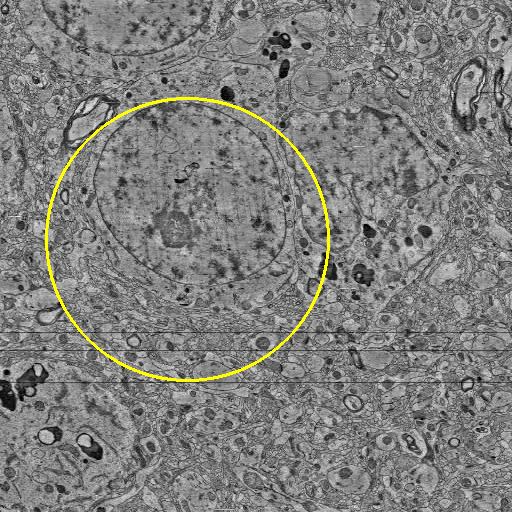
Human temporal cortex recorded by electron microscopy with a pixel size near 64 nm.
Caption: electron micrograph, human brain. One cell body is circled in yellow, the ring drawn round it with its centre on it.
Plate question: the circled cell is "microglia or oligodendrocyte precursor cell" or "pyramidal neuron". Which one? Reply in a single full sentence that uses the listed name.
The yellow ring on the plate is centred on a pyramidal neuron, going by the listed names.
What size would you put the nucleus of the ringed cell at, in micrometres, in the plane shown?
In this plane, the nucleus is roughly 13 by 11 micrometres.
